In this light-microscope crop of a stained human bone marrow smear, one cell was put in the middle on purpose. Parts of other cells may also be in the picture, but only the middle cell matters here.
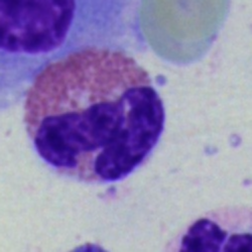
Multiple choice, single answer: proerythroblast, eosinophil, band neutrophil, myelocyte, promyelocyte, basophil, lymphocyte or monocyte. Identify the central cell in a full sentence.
The cell at the central position in this crop is an eosinophil.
